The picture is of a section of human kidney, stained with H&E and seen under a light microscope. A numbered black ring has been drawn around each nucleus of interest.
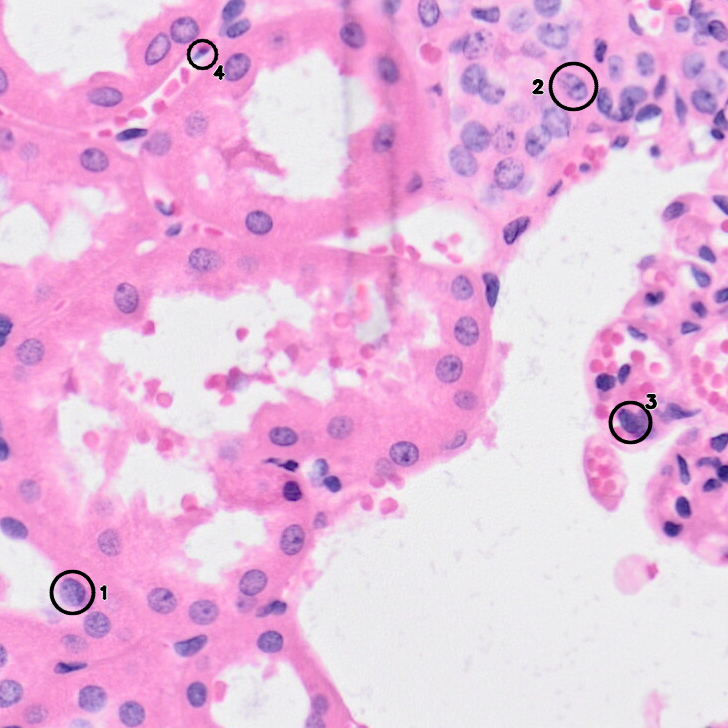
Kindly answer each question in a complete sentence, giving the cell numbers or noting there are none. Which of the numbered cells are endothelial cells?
Within the section, cells numbered 3 and 4 are endothelial cells.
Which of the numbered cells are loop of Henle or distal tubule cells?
Just one of the numbered cells is a loop of Henle or distal tubule cell, namely number 1.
